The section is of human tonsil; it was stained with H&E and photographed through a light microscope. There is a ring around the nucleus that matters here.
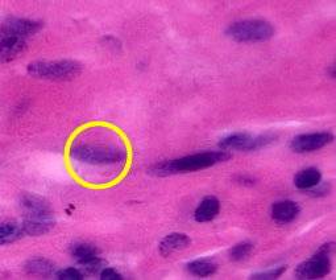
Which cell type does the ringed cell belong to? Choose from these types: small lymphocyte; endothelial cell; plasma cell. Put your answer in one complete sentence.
The ringed cell appears to be an endothelial cell.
